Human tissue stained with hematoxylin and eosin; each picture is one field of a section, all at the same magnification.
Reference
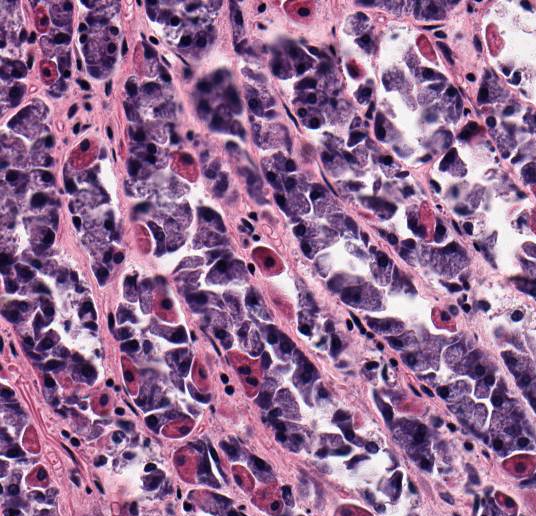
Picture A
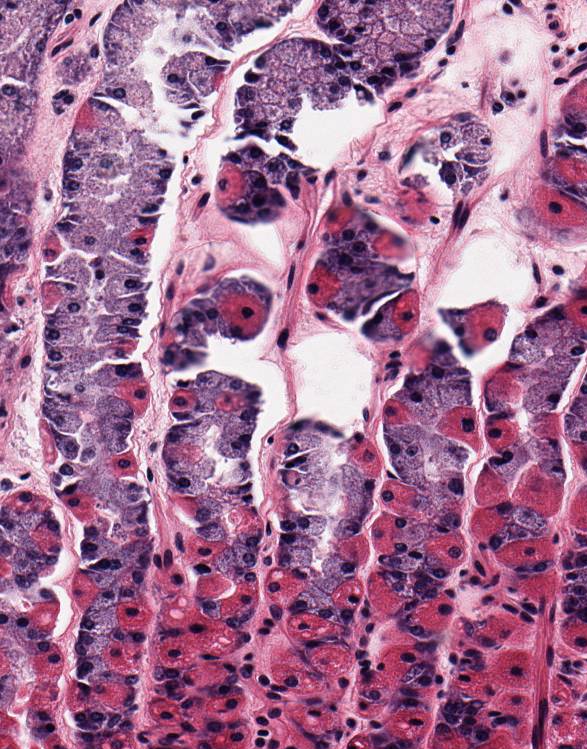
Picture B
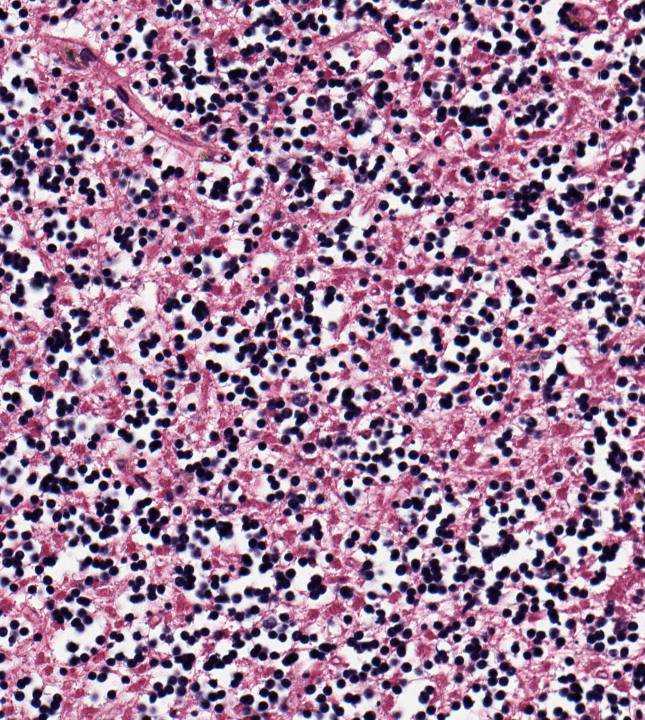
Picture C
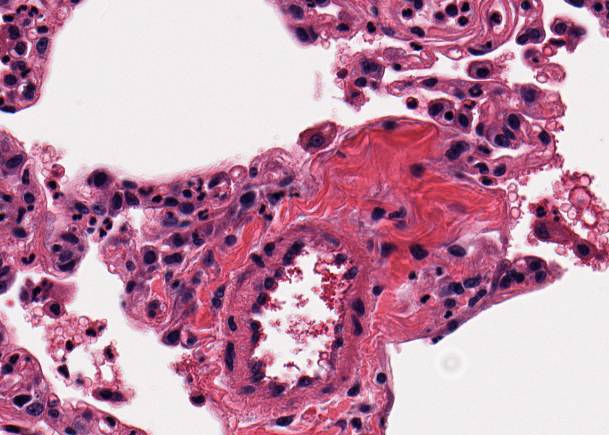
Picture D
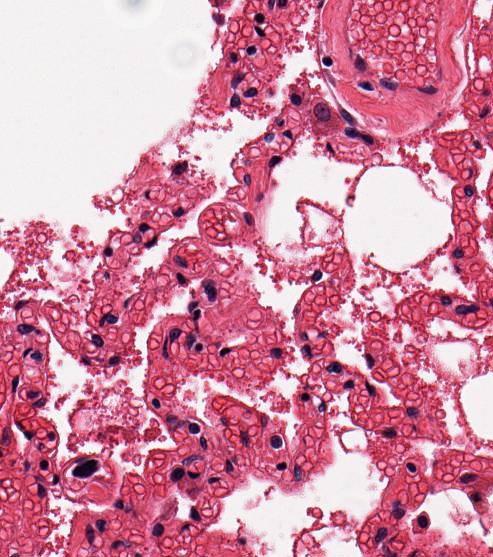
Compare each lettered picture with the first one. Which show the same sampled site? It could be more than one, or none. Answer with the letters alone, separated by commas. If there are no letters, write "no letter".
A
